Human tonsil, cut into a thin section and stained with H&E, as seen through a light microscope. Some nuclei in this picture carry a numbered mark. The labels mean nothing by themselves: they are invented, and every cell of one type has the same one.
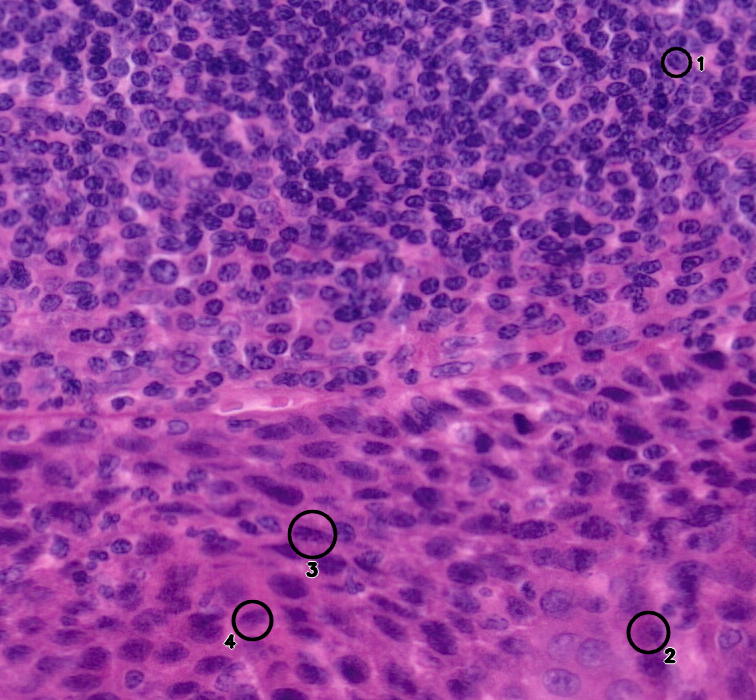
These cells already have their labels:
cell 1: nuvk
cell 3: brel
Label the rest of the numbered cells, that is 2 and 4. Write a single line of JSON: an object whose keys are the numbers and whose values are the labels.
{"2": "brel", "4": "brel"}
